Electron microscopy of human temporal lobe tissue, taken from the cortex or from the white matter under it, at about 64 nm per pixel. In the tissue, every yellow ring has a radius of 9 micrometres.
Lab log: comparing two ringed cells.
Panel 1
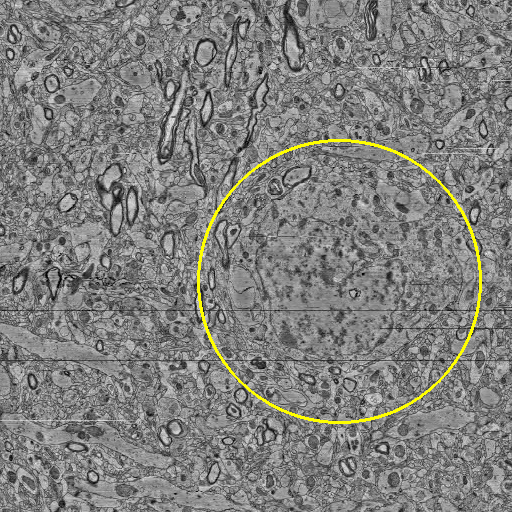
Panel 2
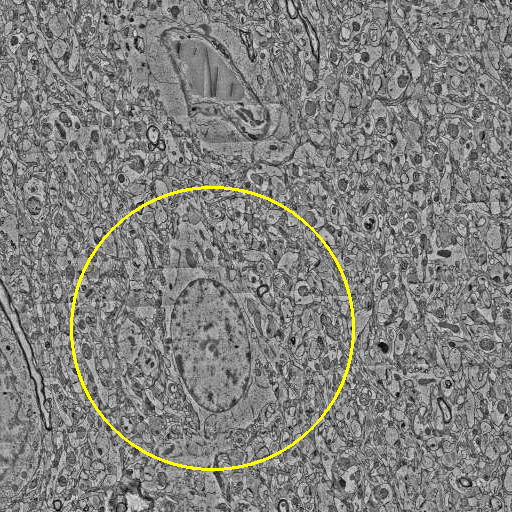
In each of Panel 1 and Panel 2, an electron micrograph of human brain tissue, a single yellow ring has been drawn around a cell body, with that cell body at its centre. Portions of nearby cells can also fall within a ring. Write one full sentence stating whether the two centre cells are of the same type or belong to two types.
The cells at the ring centres in Panel 1 and Panel 2 belong to two types.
